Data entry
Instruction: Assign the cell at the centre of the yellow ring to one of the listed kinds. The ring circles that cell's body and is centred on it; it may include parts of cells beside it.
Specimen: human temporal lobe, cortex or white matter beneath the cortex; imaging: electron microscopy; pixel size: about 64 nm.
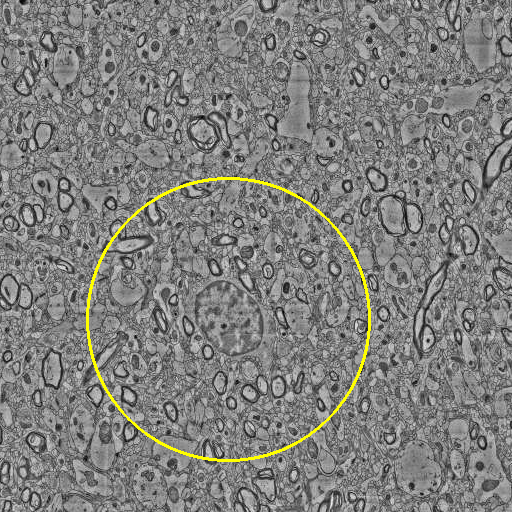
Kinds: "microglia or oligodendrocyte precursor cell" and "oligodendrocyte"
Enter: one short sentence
The centre of the ring falls on an oligodendrocyte.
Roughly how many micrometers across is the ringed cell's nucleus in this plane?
Approximately 5 micrometres across in this plane.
